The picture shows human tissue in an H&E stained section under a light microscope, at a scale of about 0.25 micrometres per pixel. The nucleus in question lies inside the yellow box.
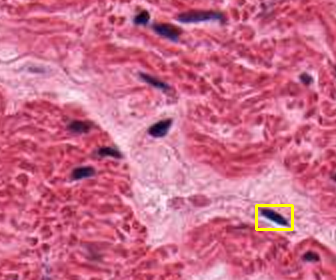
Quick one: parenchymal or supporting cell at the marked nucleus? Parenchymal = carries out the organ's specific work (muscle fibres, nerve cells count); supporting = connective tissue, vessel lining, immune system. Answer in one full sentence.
The marked nucleus in this section is part of a supporting cell.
